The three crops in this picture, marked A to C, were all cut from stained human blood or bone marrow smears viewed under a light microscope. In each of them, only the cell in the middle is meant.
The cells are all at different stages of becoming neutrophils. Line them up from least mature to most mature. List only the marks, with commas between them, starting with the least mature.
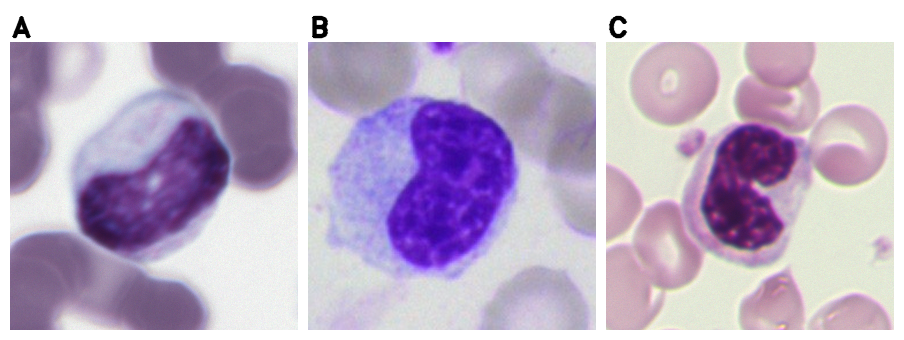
B, A, C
